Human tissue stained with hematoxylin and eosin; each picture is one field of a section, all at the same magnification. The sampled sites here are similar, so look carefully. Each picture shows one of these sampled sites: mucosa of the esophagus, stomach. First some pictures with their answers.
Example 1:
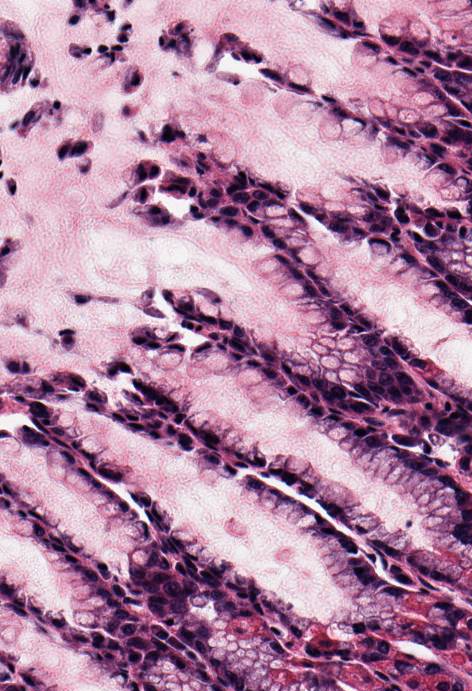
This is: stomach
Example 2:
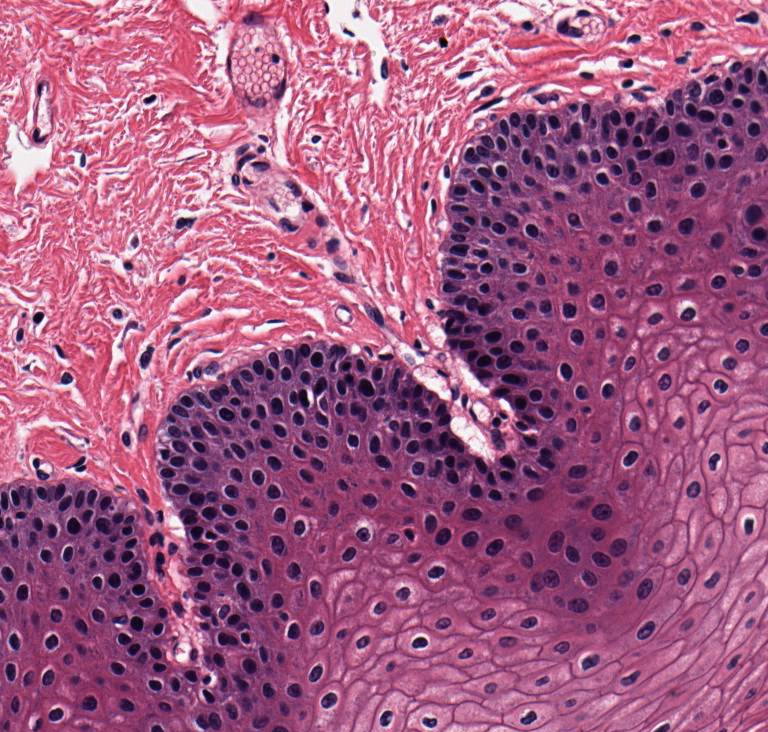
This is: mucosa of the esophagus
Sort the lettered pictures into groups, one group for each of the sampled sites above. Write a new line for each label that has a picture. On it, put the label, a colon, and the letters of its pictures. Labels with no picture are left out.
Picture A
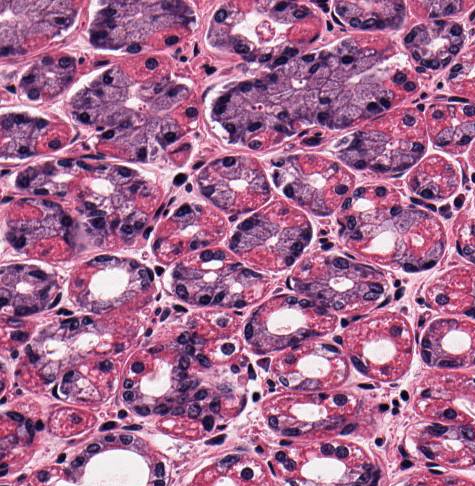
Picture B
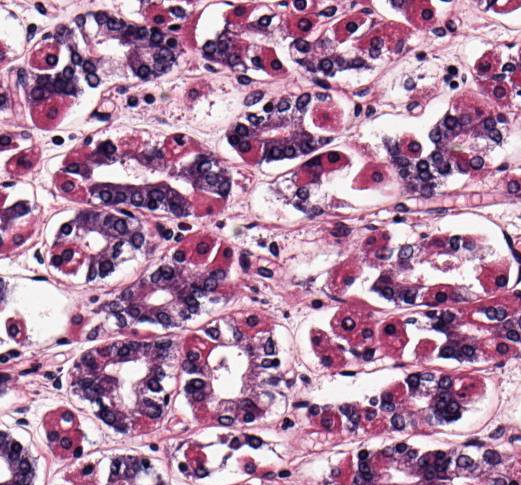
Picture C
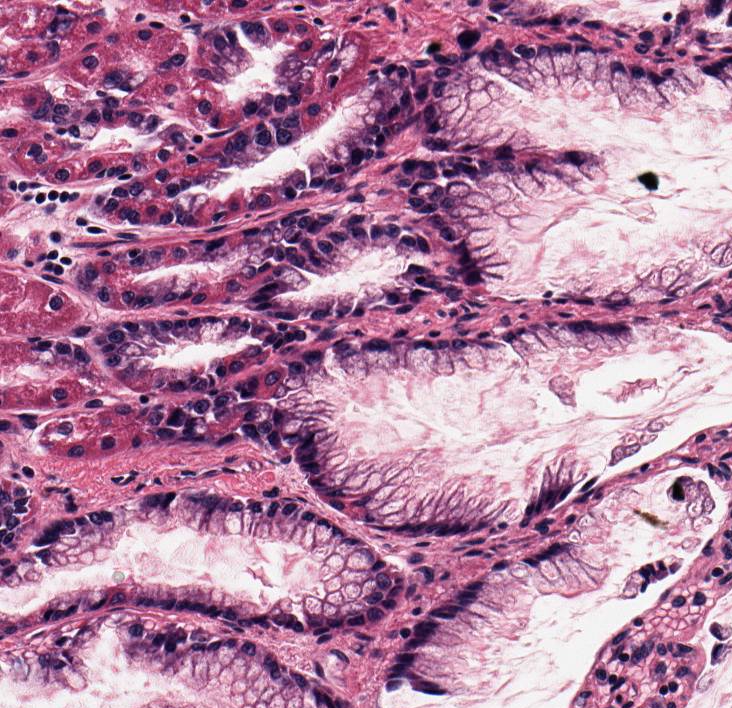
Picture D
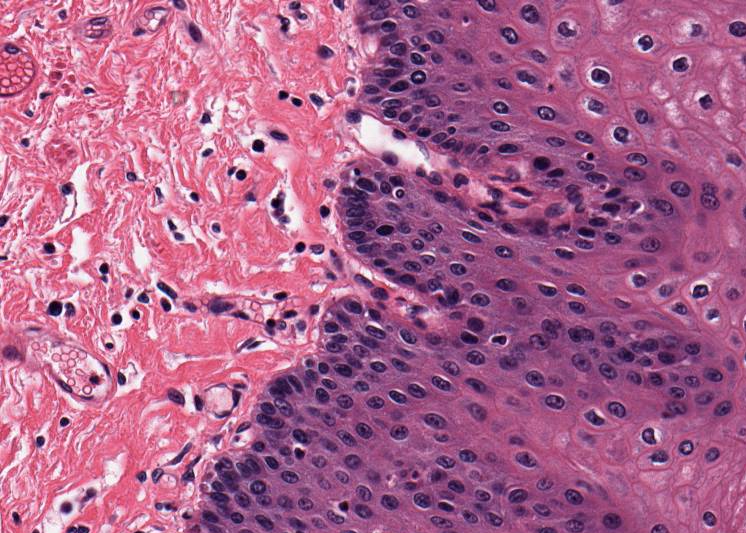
mucosa of the esophagus: D
stomach: A, B, C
